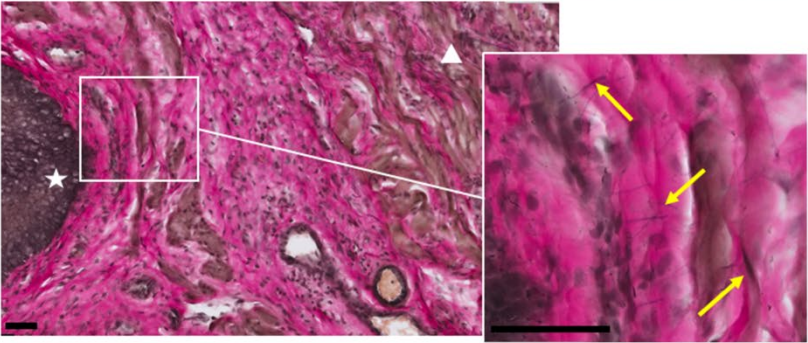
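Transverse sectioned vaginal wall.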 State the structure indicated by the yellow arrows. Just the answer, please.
Elastin fibers.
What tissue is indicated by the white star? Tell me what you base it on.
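The star lies in a dark grey-brown, densely packed cellular mass at the left edge. The mass is bordered by pink connective tissue.
Conclusion: epithelium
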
